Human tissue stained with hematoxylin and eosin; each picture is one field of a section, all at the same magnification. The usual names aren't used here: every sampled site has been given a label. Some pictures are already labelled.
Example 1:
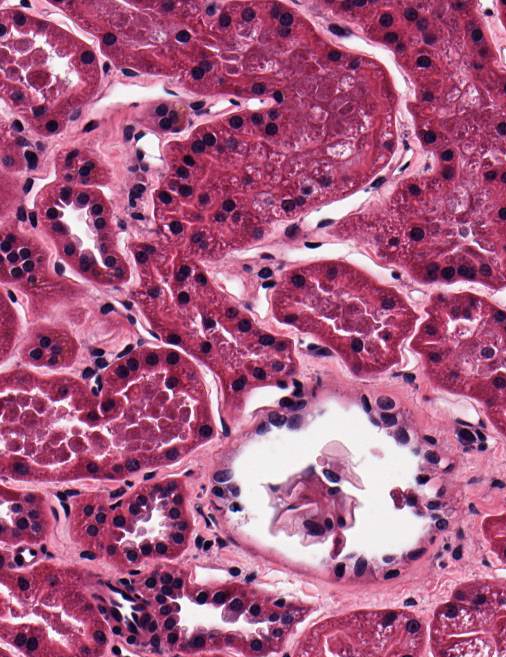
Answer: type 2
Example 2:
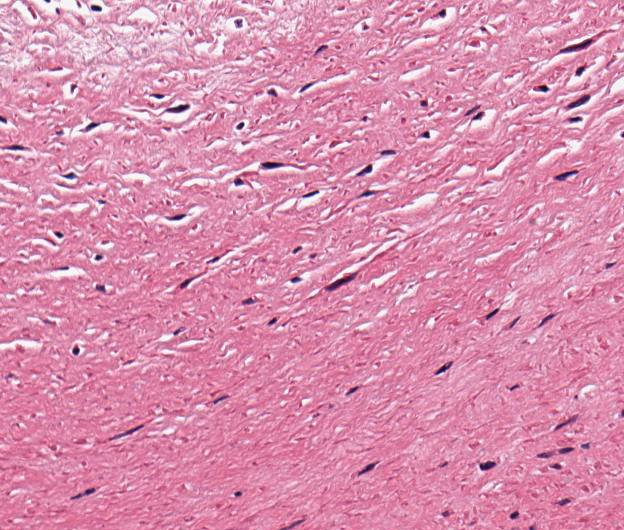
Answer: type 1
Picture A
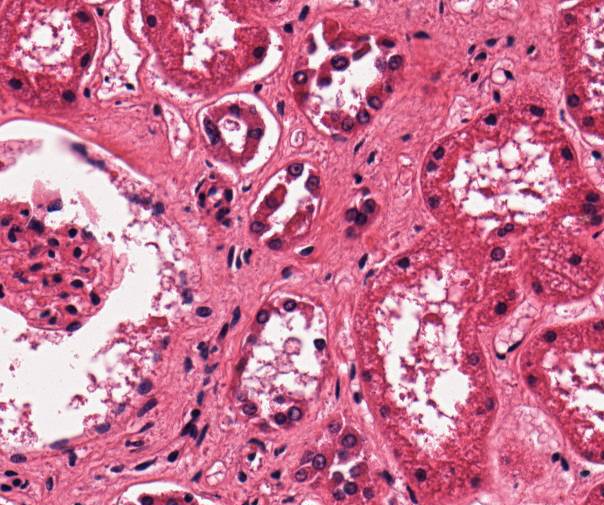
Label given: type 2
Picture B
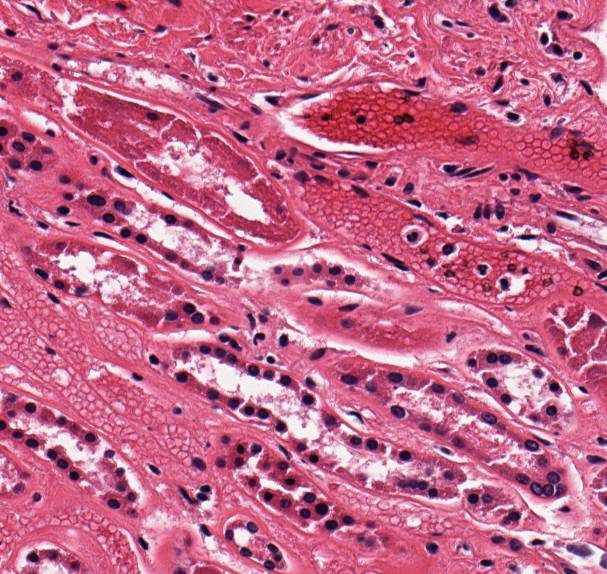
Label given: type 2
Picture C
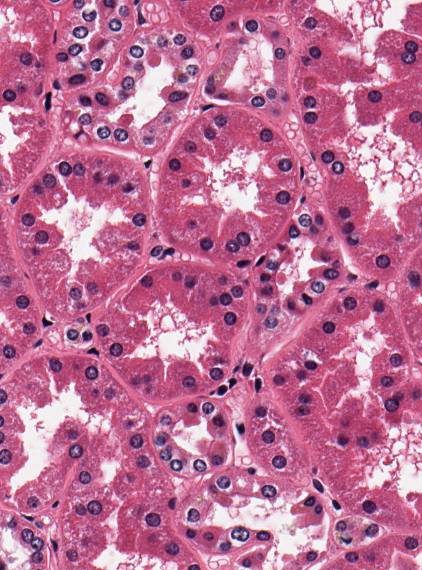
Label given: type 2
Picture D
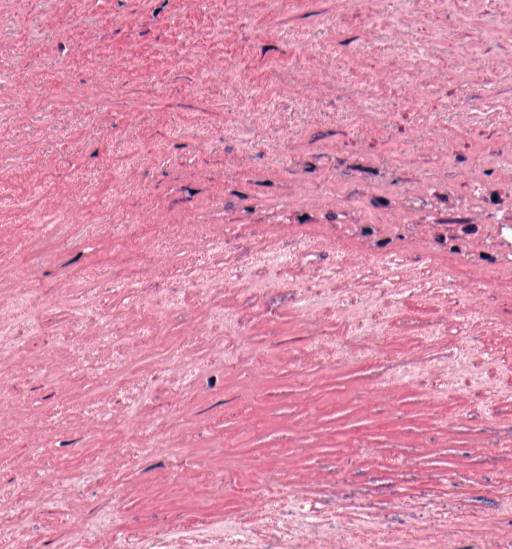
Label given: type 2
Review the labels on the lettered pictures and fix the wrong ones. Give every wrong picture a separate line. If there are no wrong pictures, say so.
D should be type 1, not type 2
